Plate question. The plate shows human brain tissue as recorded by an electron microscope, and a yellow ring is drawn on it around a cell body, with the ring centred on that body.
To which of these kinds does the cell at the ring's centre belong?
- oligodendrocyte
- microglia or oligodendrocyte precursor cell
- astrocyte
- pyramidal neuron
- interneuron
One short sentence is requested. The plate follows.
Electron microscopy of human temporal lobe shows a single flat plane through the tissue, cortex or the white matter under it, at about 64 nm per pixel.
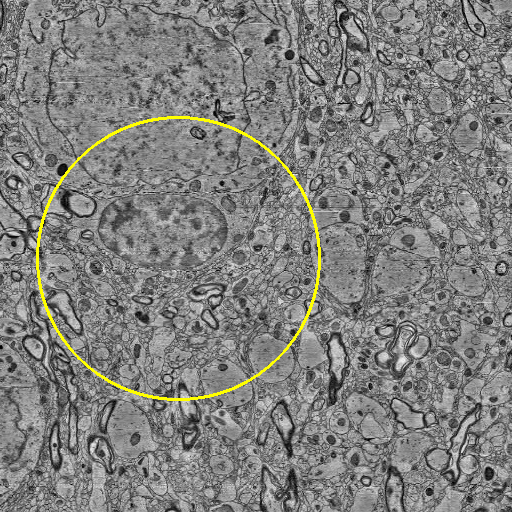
The cell at the ring's centre is an oligodendrocyte.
